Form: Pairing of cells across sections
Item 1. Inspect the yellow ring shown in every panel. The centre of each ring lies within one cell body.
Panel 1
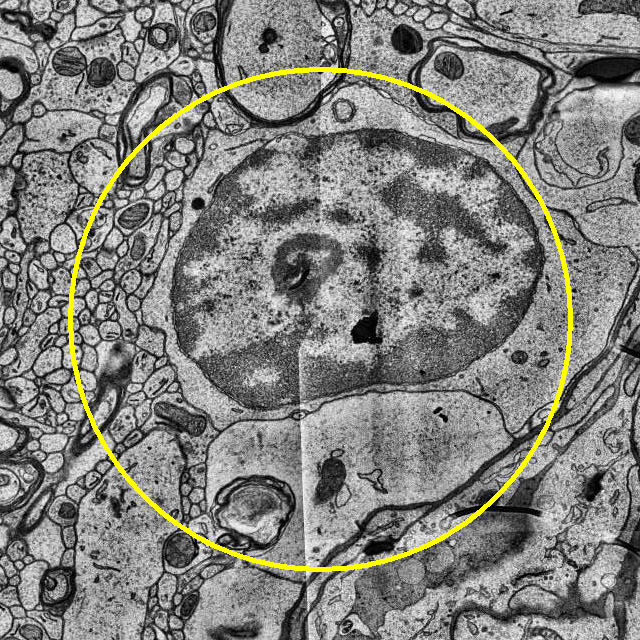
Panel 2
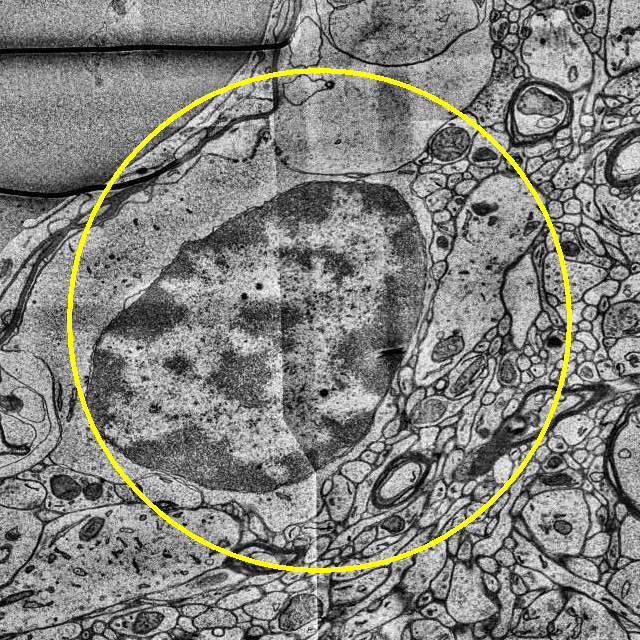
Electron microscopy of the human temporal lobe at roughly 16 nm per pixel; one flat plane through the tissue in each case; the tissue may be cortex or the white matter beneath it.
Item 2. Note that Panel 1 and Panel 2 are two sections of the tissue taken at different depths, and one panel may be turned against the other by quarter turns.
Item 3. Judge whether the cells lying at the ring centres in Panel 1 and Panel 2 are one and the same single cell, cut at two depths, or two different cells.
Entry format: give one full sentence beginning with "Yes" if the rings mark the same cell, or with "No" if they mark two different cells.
Yes, the two yellow circles hold the same cell.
